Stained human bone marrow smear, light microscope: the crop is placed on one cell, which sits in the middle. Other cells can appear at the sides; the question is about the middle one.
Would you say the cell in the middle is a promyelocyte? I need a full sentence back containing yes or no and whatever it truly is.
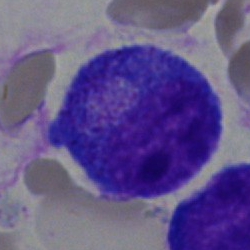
Yes, in this crop the cell in the middle is a promyelocyte.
